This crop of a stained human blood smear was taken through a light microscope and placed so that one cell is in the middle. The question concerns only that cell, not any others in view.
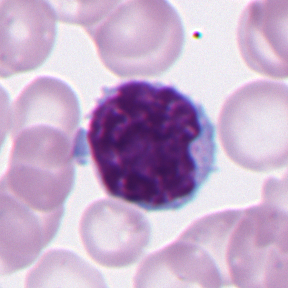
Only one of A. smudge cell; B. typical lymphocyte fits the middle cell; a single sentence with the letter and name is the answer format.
Option B is correct in naming the middle cell a typical lymphocyte.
